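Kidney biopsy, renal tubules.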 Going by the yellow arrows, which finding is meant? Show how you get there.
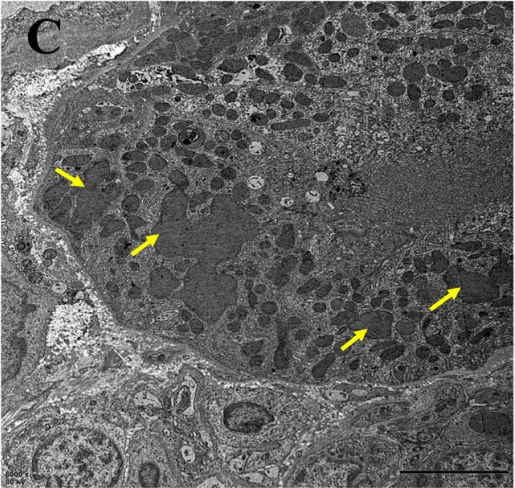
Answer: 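The cell is packed with many dark oval organelles. The marked organelles are large, irregular and fused-looking compared with the small oval ones around them.
Conclusion: malformed mitochondria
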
